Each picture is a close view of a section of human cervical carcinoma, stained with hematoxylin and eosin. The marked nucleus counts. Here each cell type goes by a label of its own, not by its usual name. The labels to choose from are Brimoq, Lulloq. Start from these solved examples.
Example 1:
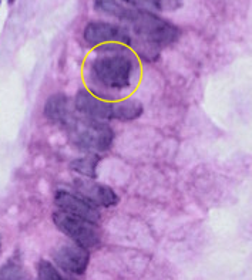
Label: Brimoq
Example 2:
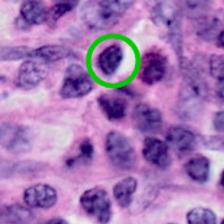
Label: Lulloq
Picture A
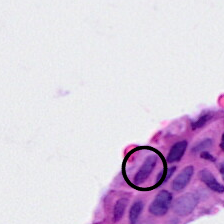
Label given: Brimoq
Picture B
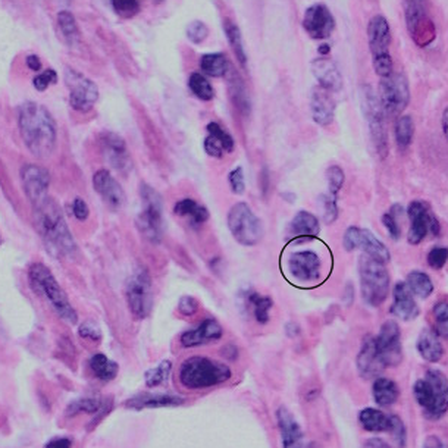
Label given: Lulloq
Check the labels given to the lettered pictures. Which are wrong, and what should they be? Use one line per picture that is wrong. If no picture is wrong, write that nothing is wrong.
Every label is right.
